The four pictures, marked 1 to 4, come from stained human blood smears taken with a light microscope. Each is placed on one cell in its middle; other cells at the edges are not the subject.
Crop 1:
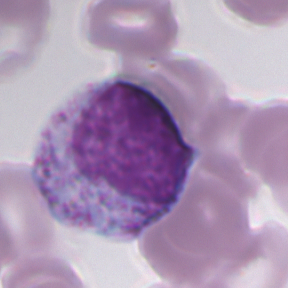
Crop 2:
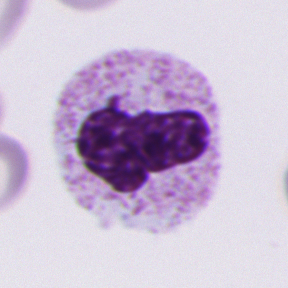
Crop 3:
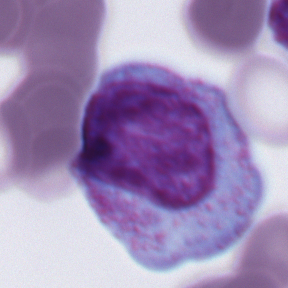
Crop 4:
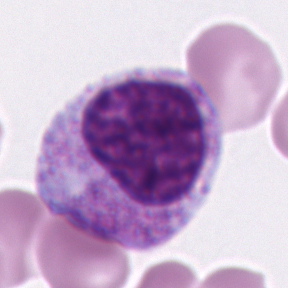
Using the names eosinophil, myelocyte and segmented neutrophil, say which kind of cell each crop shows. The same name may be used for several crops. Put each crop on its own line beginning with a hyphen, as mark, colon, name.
- 1: myelocyte
- 2: segmented neutrophil
- 3: myelocyte
- 4: myelocyte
